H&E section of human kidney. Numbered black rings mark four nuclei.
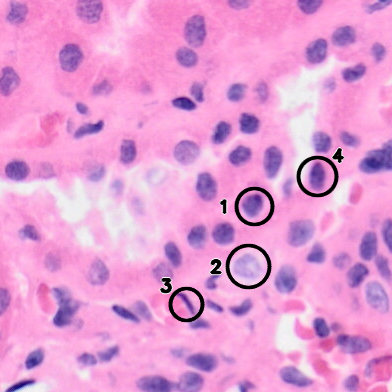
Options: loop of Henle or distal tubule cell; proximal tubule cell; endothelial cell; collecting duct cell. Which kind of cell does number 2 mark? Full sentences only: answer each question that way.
Looking at the numbered marks, cell 2 is a loop of Henle or distal tubule cell.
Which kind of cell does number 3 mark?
The cell identified by the number 3 is an endothelial cell.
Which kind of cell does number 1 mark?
Marked with the number 1, this cell is a loop of Henle or distal tubule cell.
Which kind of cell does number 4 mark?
Identified as a loop of Henle or distal tubule cell is the cell bearing the number 4.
